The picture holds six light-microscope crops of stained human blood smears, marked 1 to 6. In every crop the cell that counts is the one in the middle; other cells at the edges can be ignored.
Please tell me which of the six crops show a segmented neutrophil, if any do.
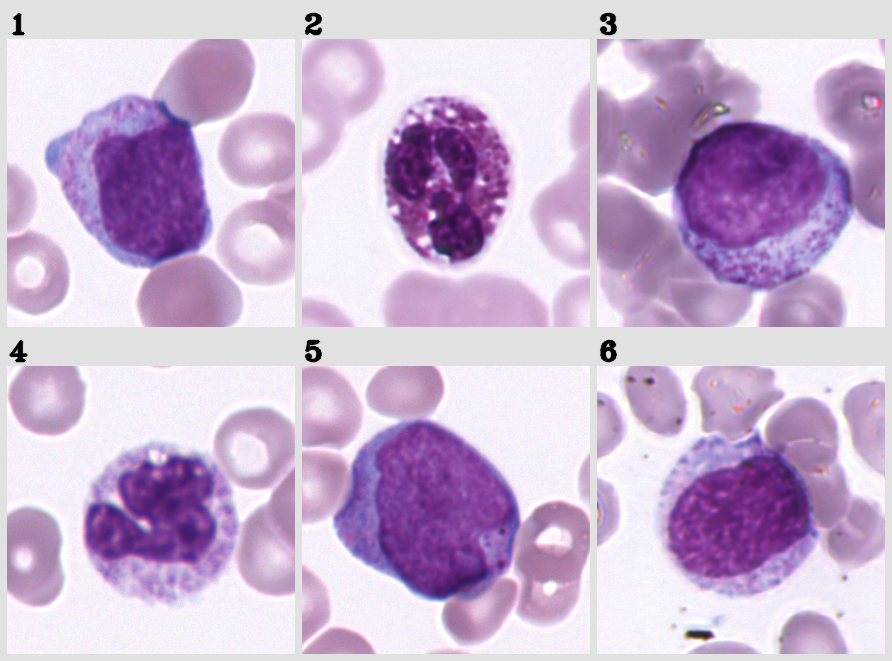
4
